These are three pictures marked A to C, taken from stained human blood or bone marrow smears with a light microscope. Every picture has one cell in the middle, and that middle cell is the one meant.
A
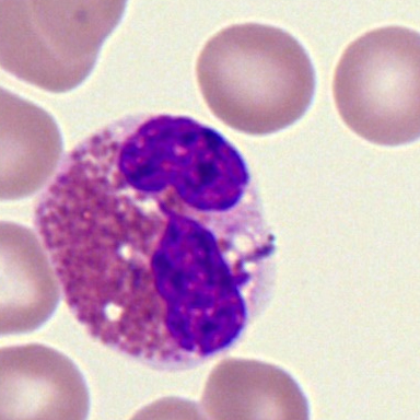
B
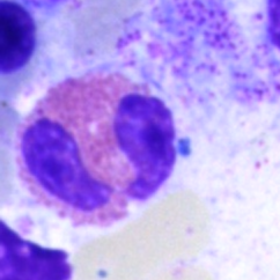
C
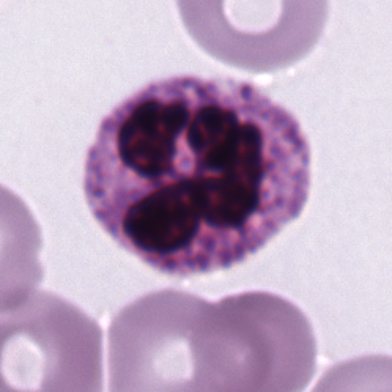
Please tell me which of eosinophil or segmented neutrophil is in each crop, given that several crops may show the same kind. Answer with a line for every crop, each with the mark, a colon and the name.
A: eosinophil
B: eosinophil
C: segmented neutrophil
